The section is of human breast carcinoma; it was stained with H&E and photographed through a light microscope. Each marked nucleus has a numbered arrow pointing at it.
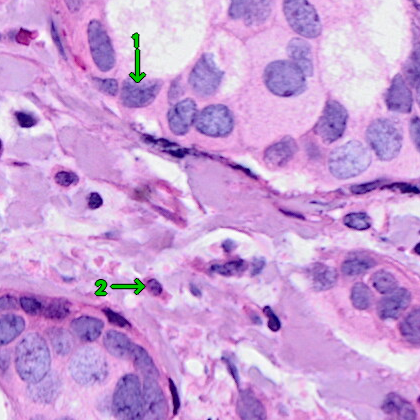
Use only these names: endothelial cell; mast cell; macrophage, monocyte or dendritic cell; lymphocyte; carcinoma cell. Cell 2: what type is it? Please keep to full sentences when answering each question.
The cell identified by number 2 is a mast cell.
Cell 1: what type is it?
The cell identified by the number 1 is a carcinoma cell.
